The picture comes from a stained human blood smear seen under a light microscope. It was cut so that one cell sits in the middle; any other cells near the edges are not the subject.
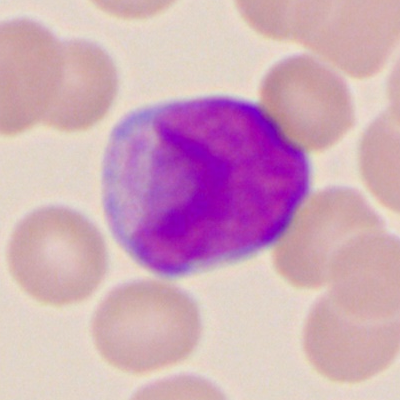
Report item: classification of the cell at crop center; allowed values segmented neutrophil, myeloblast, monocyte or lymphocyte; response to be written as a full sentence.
The cell sitting right in the middle is a myeloblast.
